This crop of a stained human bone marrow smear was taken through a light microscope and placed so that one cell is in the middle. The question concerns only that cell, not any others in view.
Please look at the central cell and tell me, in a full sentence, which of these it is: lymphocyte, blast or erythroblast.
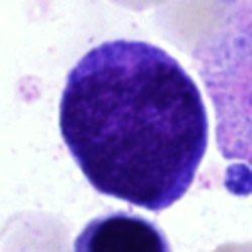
The cell at the middle of the frame should be recorded as a blast.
